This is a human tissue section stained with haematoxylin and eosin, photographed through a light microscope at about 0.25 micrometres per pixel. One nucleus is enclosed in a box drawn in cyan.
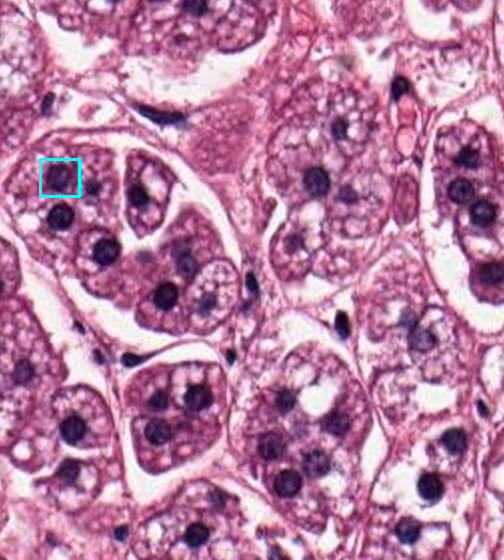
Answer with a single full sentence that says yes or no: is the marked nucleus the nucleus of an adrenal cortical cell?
Yes, in this field of view the marked nucleus belongs to an adrenal cortical cell.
